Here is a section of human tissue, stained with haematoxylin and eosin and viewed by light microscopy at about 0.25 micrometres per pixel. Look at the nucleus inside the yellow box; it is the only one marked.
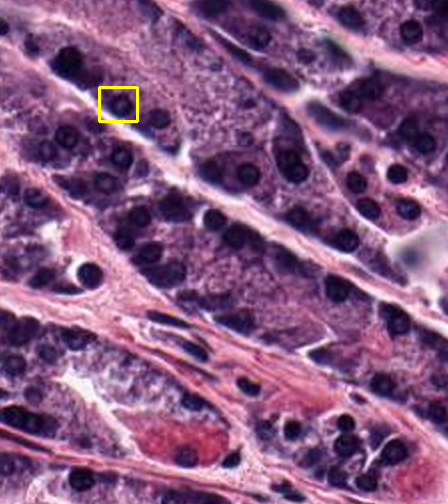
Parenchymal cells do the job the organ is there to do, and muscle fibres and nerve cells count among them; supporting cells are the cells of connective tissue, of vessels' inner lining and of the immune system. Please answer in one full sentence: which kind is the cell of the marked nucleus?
The marked nucleus is held by a parenchymal cell, namely a chief cell.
